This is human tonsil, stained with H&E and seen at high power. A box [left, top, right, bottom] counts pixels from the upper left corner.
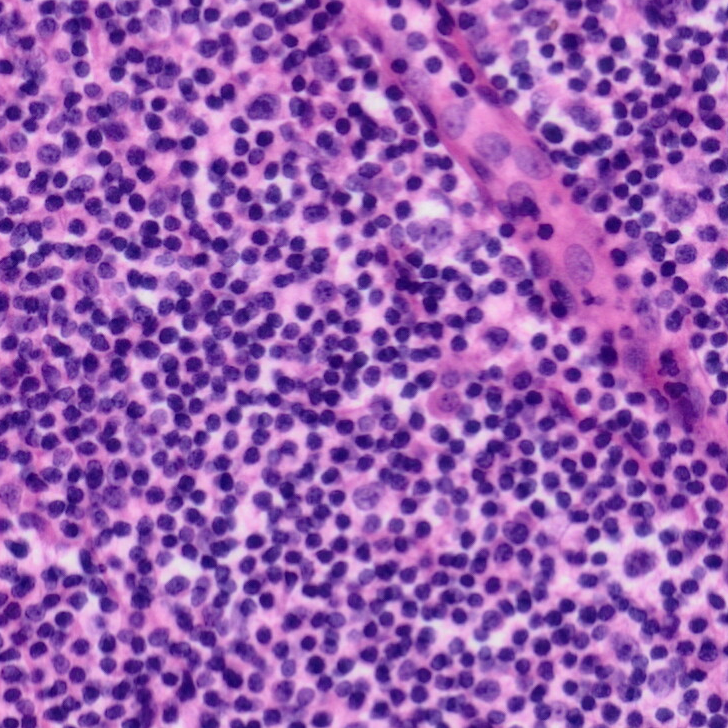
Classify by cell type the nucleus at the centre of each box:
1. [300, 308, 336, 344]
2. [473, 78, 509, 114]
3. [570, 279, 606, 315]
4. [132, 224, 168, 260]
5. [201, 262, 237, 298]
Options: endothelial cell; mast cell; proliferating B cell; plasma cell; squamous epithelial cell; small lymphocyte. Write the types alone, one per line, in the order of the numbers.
small lymphocyte
endothelial cell
endothelial cell
small lymphocyte
small lymphocyte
